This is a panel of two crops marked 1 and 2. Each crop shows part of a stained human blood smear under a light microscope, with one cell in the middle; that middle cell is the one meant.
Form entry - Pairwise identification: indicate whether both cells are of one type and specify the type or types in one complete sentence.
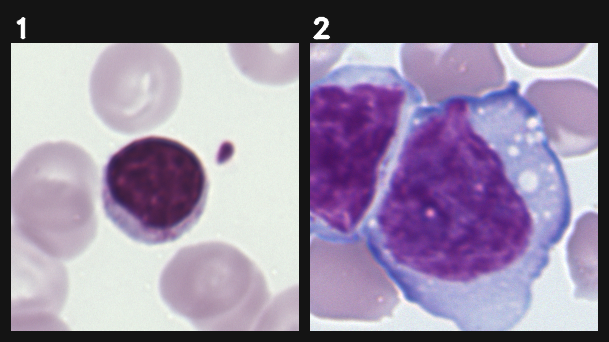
No, what crop 1 shows is a typical lymphocyte, and what crop 2 shows is a myeloblast.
